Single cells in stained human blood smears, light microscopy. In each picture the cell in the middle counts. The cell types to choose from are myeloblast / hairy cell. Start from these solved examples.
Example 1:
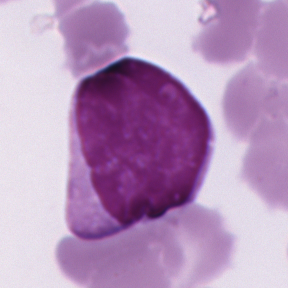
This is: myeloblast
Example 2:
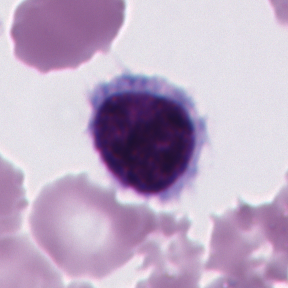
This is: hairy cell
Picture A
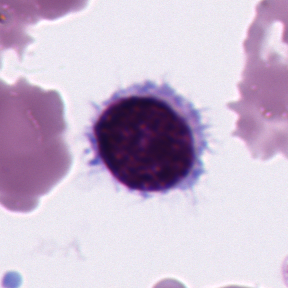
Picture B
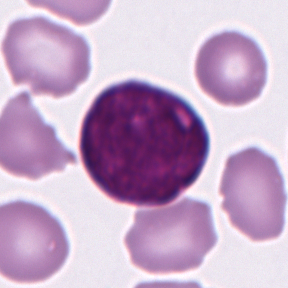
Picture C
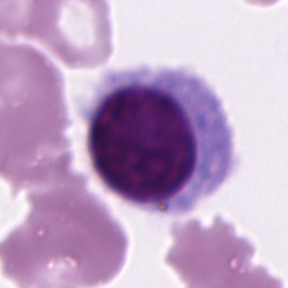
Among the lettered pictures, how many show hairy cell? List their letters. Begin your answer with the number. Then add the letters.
2: A, C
